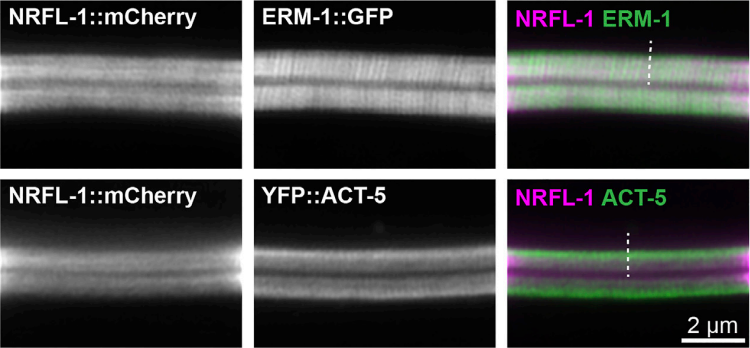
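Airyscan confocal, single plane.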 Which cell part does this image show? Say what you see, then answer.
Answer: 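Two bright parallel bands run along the length of the image with a darker gap between them. The bands show fine striations running perpendicular to their length.
Answer: apical microvilli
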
